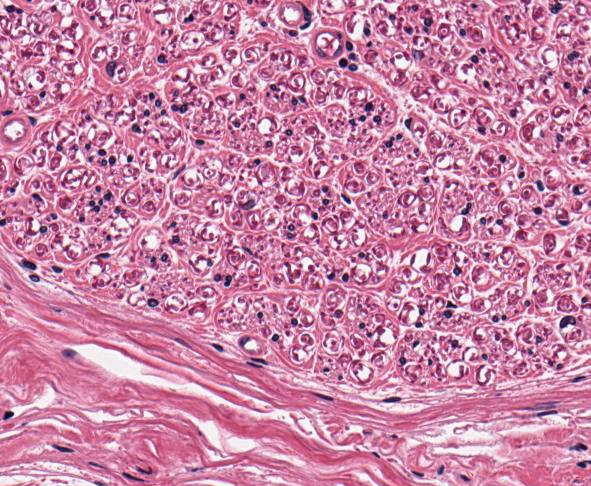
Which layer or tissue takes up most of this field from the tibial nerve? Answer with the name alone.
nerve fascicle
